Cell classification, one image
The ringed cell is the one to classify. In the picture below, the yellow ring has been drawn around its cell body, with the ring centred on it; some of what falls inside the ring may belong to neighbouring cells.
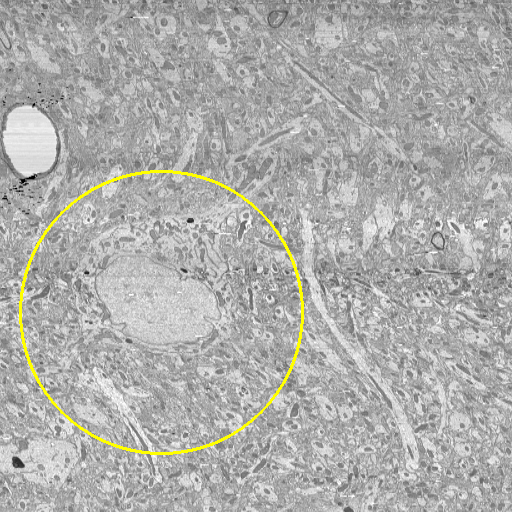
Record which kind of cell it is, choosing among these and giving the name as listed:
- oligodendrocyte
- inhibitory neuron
inhibitory neuron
